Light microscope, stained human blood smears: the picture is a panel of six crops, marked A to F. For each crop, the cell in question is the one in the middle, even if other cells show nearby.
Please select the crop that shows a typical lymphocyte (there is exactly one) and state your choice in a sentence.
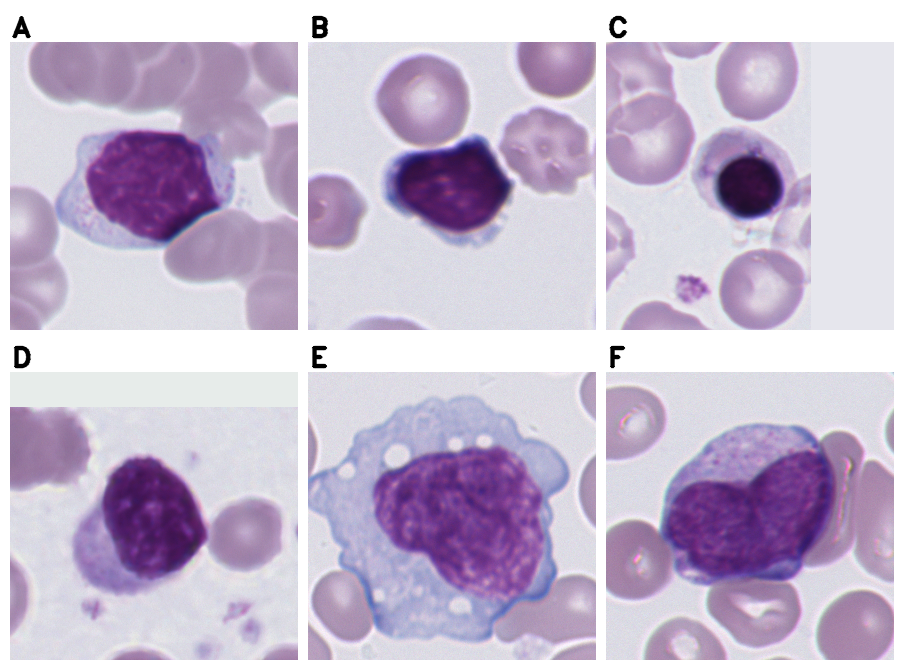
In this set, crop B is the one showing a typical lymphocyte.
